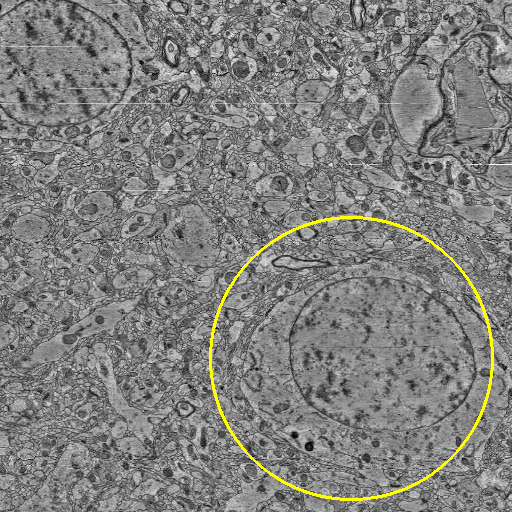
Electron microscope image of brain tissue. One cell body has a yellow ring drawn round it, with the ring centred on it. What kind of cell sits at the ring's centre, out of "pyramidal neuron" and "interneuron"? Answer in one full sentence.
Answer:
It is a pyramidal neuron whose cell body sits at the centre of the yellow ring.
